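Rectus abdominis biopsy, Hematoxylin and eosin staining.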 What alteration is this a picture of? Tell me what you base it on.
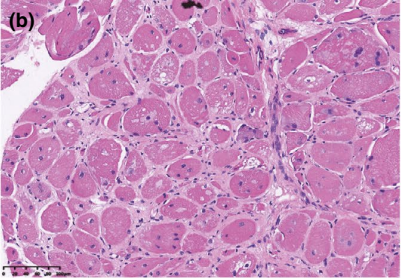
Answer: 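Nuclear ingression. Many muscle fibers cut in cross-section have a nucleus lying in the middle of the fiber rather than at its edge.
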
